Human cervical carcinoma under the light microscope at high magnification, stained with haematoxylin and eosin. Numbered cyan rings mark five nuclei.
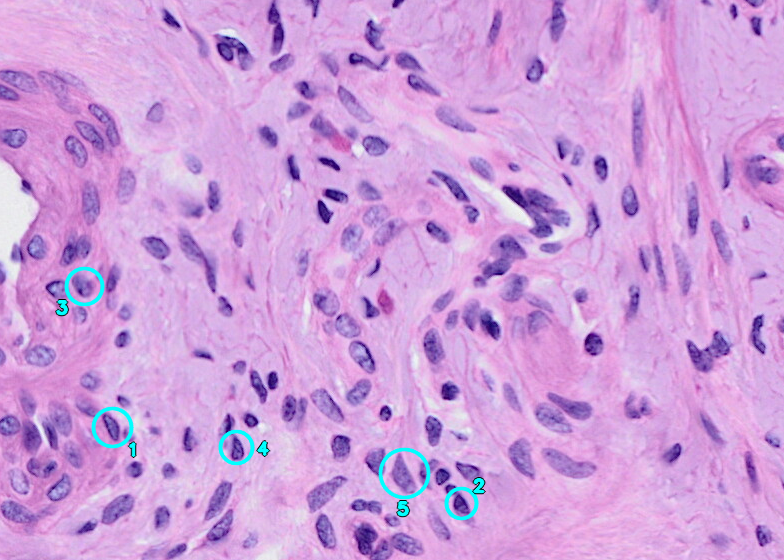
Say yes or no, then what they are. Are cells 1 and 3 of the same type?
Yes, cell 1 and likewise cell 3 are smooth muscle cells.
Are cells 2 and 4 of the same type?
Yes, cells 2 and 4 both qualify as fibroblasts.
